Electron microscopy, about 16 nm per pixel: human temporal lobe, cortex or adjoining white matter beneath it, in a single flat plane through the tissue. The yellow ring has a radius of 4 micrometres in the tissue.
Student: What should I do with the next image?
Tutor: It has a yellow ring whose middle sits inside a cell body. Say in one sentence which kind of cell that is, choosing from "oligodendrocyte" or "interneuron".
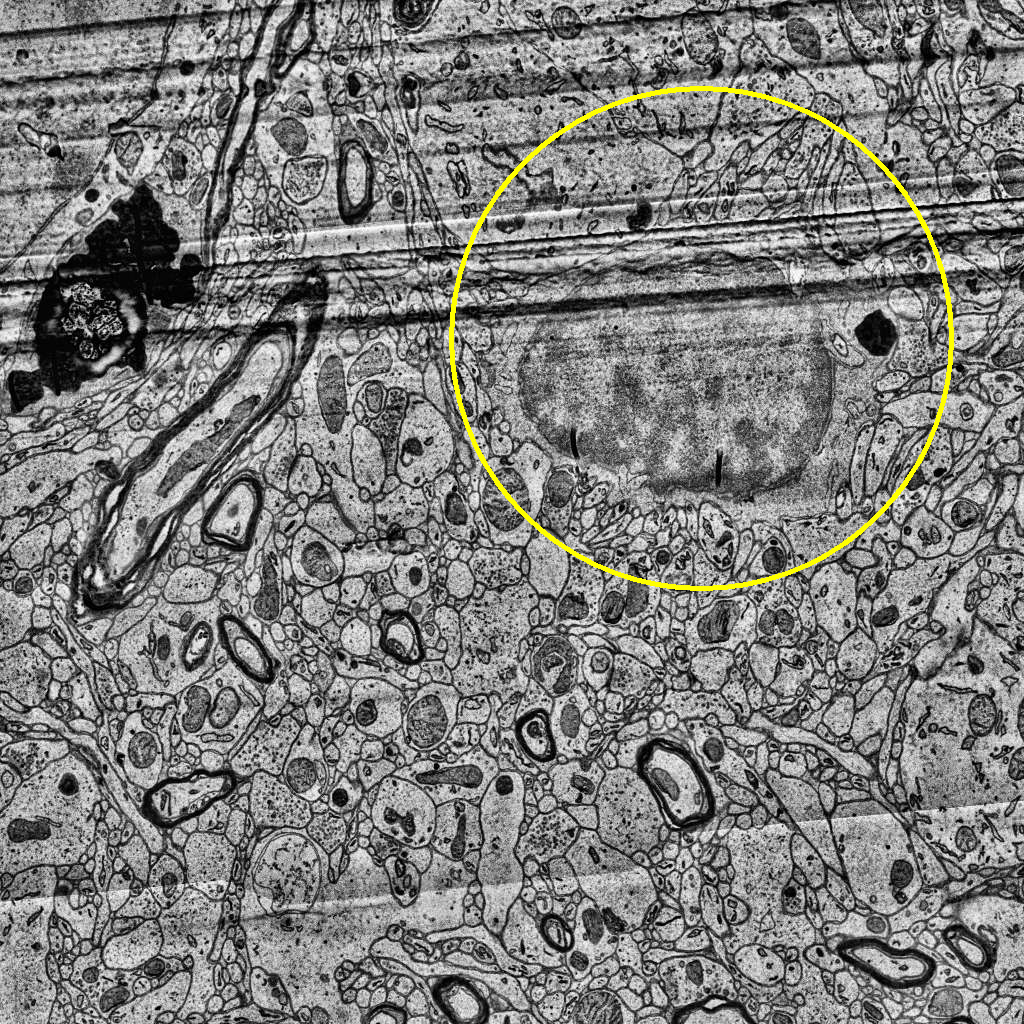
The ring's centre is occupied by an oligodendrocyte.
